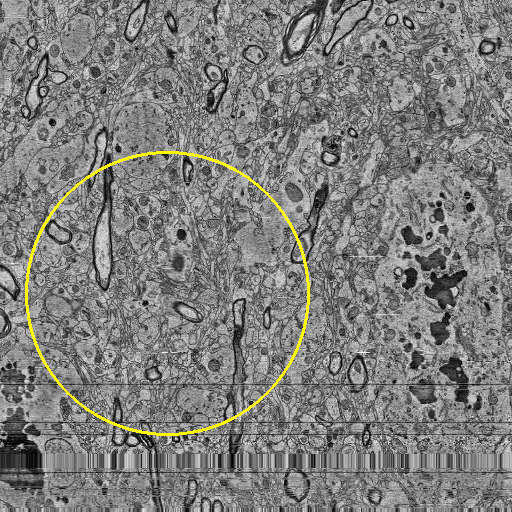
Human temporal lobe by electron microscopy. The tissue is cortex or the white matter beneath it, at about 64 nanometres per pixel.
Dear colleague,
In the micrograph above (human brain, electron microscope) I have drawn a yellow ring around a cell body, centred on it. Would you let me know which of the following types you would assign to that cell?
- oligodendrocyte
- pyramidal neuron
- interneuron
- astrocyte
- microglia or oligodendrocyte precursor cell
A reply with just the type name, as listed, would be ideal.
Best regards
microglia or oligodendrocyte precursor cell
